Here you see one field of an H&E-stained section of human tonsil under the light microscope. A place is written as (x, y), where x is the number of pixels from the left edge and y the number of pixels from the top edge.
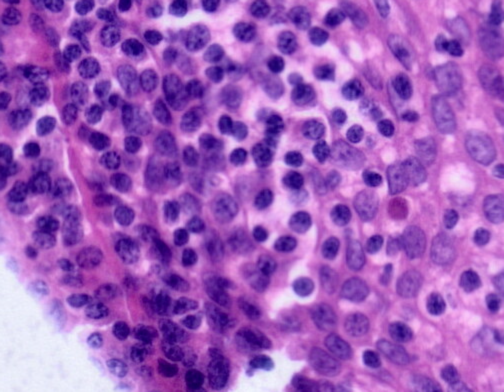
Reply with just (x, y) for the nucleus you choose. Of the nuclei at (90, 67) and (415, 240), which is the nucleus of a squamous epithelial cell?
(415, 240)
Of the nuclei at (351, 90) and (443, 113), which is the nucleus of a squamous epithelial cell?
(443, 113)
